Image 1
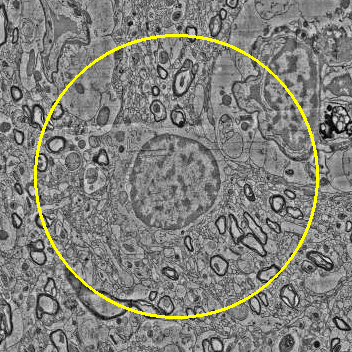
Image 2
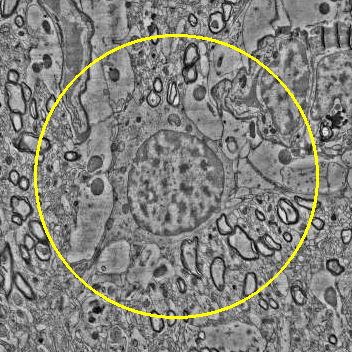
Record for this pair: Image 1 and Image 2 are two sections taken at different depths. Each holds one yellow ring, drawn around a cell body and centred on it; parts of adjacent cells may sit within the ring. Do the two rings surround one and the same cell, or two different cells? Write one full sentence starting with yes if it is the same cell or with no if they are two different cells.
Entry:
Yes, the two rings belong to one cell, not to two.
